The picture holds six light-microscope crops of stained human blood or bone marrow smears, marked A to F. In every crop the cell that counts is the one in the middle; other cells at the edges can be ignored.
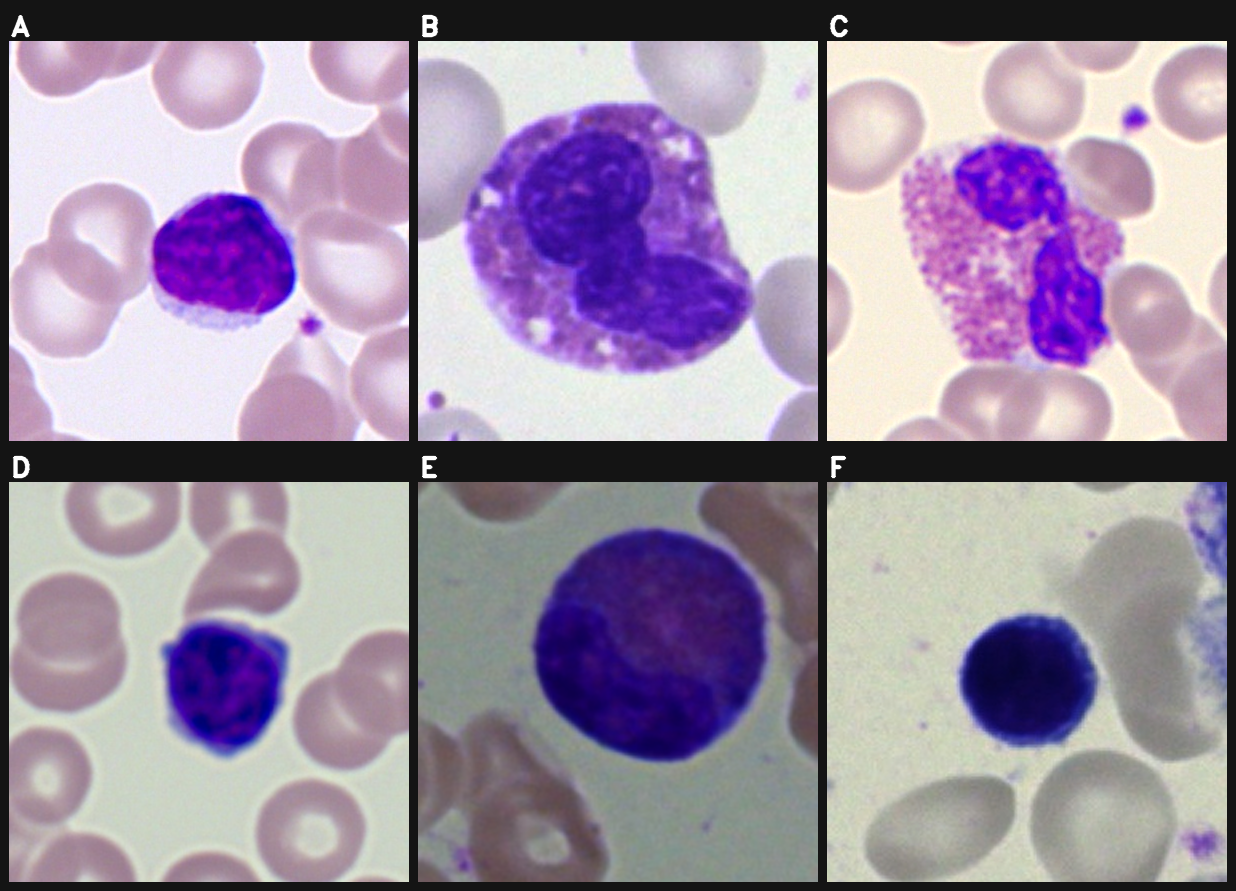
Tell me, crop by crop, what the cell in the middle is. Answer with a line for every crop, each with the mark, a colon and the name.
A: lymphocyte
B: eosinophil
C: eosinophil
D: lymphocyte
E: eosinophil
F: lymphocyte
